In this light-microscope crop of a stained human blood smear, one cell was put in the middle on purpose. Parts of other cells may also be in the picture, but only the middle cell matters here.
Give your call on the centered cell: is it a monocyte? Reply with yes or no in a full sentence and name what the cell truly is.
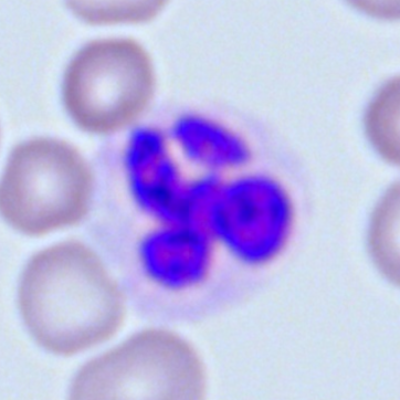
No, the cell in the middle of the crop counts as a segmented neutrophil and not as a monocyte.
